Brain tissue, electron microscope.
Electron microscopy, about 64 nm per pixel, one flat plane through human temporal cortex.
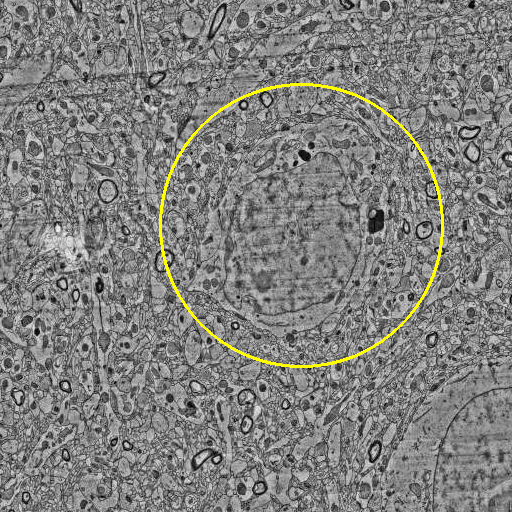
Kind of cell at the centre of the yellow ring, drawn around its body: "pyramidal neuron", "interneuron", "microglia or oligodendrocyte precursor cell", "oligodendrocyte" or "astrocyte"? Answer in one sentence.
The ring's centre falls on an interneuron.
